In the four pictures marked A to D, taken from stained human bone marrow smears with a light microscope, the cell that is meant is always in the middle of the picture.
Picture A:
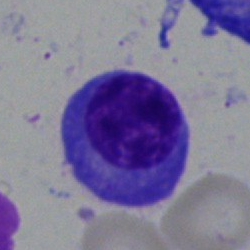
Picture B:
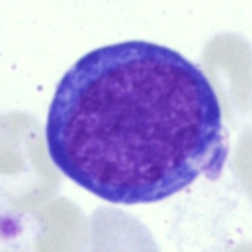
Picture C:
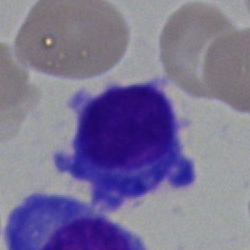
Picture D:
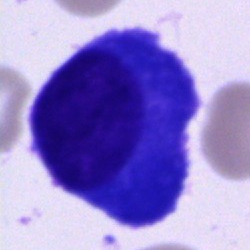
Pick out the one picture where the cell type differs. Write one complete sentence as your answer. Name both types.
Unlike the rest, which show plasma cells, picture B shows a proerythroblast.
